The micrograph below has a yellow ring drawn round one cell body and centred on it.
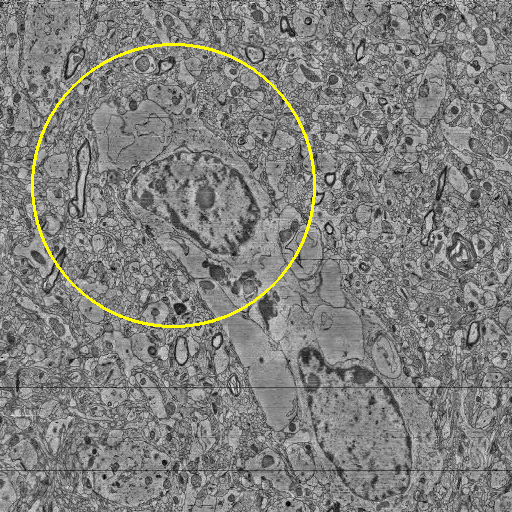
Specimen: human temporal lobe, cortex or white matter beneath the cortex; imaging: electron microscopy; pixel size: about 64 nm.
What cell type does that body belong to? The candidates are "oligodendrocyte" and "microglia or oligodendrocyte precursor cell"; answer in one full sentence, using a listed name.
This is a microglial cell or oligodendrocyte precursor cell, the cell whose body lies at the centre of the ring.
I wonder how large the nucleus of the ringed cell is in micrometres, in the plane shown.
Roughly 8 by 6 micrometres is the size of the nucleus in this plane.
